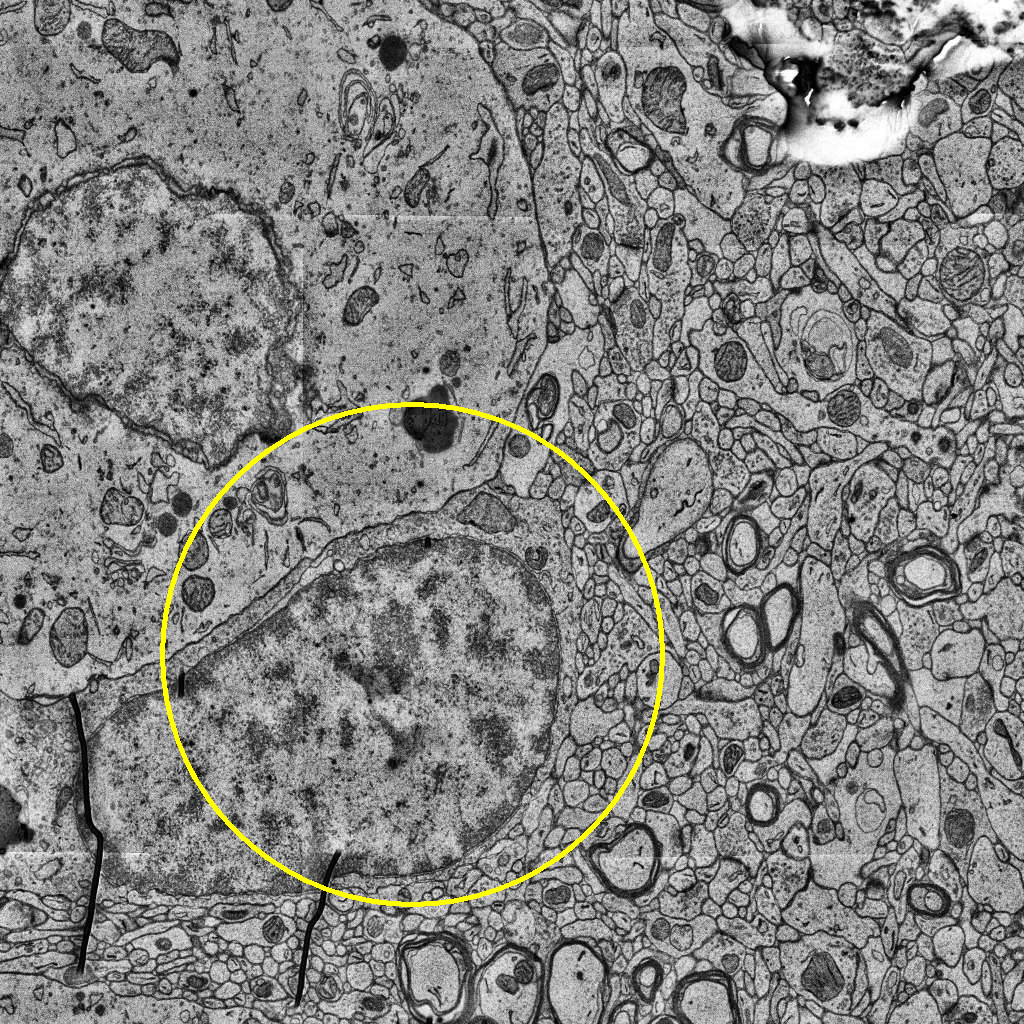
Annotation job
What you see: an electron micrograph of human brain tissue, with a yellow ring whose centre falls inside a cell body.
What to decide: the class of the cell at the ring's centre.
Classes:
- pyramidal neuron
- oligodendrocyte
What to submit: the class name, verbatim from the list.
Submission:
oligodendrocyte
